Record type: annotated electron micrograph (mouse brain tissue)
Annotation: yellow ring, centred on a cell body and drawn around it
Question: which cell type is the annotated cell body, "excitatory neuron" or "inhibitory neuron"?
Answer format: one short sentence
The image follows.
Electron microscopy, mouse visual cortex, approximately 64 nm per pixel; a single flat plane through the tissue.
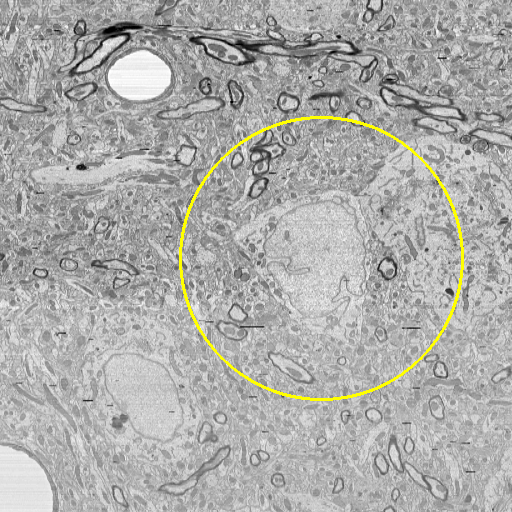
The annotated cell body is that of an inhibitory neuron.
